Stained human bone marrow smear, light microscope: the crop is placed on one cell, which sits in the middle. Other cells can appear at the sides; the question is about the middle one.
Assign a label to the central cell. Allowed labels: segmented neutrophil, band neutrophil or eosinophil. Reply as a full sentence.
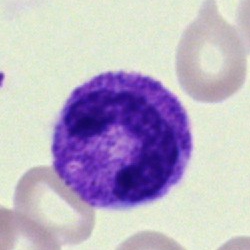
Classification of the middle cell gives a band neutrophil.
